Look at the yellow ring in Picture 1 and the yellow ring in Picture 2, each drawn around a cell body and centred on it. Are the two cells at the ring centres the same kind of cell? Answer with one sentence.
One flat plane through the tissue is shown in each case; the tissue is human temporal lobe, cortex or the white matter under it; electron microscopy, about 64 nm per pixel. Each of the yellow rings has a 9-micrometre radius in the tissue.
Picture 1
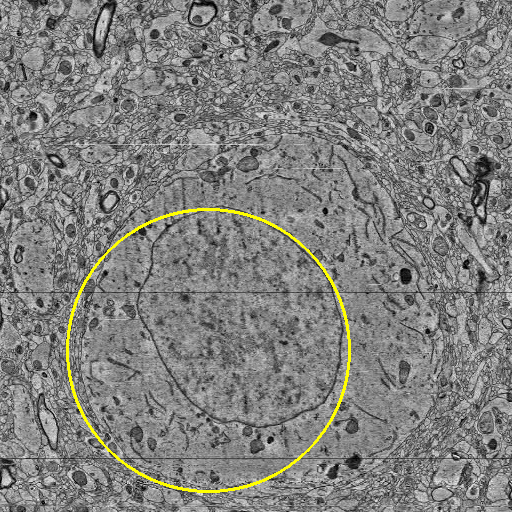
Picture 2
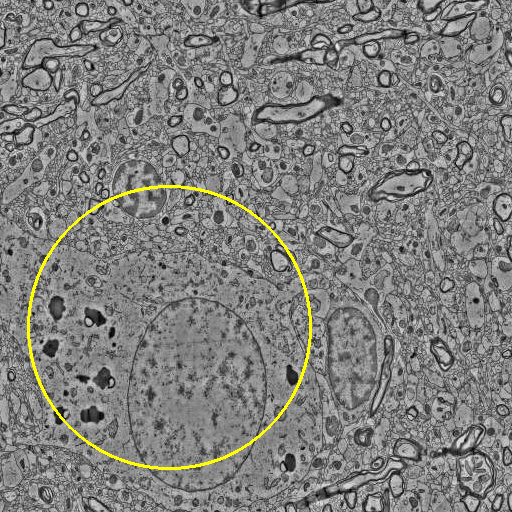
Yes, both are the same kind of cell.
